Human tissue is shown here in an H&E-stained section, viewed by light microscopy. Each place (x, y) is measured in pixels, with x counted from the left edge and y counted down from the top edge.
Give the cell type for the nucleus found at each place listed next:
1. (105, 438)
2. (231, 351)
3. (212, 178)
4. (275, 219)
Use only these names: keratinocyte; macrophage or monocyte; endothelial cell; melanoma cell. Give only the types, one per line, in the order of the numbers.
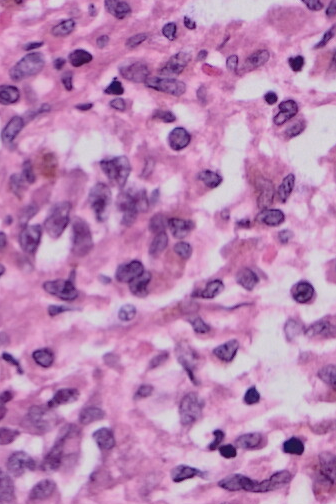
melanoma cell
macrophage or monocyte
macrophage or monocyte
macrophage or monocyte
